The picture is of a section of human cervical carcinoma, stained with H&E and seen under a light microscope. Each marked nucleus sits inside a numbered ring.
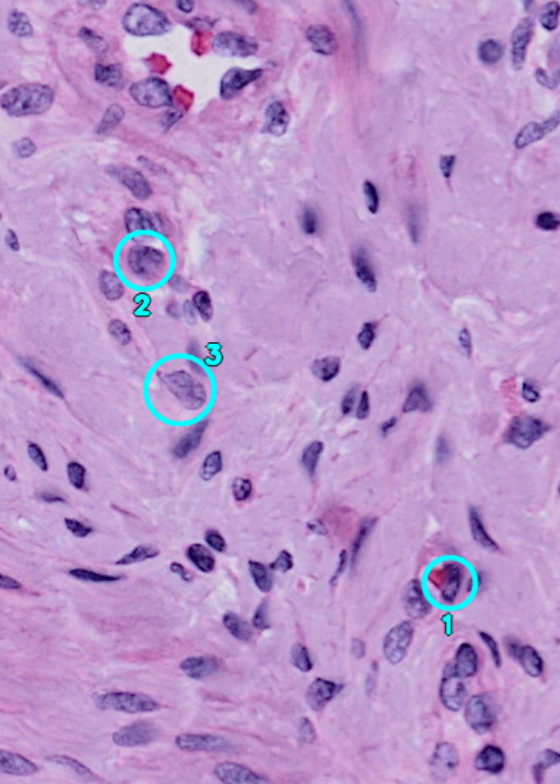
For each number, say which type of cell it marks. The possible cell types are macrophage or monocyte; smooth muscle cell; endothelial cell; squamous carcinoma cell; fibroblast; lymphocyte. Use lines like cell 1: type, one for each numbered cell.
cell 1: endothelial cell
cell 2: endothelial cell
cell 3: fibroblast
